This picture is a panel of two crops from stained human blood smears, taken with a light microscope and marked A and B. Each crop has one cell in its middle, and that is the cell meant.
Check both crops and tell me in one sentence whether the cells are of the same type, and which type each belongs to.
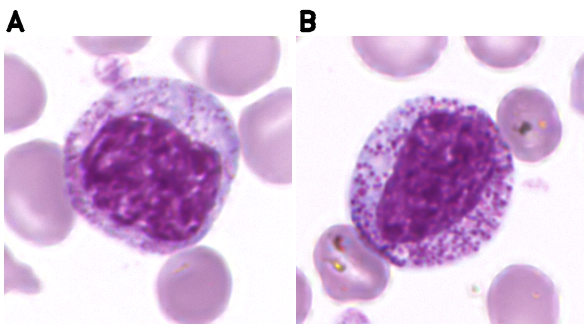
Yes, the cells placed at the centre of both crops are myelocytes.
